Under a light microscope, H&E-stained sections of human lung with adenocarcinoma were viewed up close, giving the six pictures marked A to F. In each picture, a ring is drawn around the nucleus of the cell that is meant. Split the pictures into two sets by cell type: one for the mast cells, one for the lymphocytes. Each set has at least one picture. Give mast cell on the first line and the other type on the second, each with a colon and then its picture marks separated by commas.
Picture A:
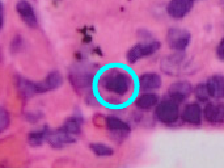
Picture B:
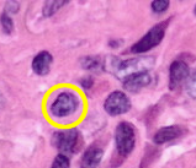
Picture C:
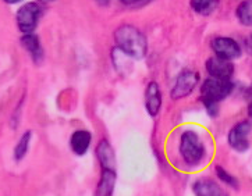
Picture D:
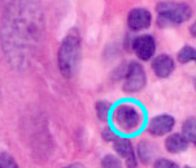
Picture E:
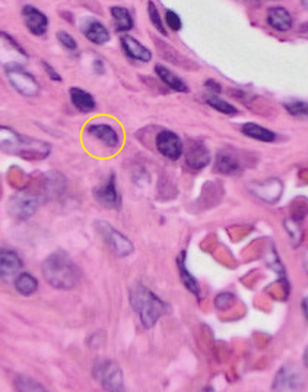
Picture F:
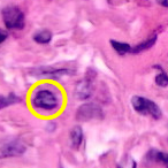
mast cell: B, E, F
lymphocyte: A, C, D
